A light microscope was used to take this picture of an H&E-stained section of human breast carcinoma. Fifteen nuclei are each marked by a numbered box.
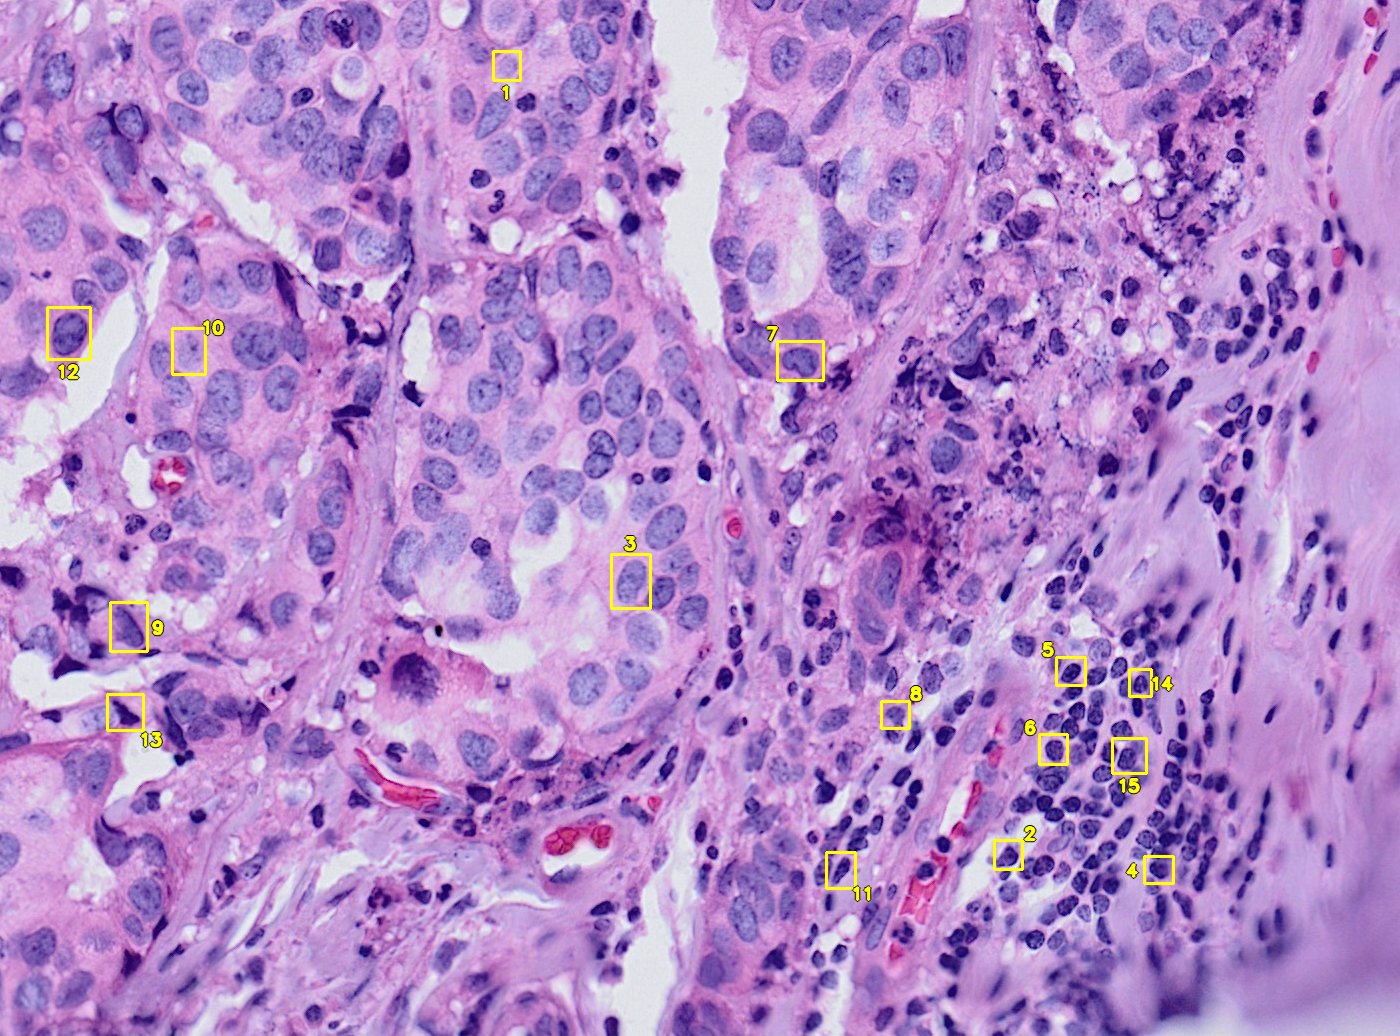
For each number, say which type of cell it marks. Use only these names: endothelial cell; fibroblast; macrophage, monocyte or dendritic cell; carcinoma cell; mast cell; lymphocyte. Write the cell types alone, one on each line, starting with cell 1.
carcinoma cell
lymphocyte
carcinoma cell
lymphocyte
lymphocyte
lymphocyte
carcinoma cell
lymphocyte
carcinoma cell
carcinoma cell
lymphocyte
carcinoma cell
carcinoma cell
lymphocyte
lymphocyte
